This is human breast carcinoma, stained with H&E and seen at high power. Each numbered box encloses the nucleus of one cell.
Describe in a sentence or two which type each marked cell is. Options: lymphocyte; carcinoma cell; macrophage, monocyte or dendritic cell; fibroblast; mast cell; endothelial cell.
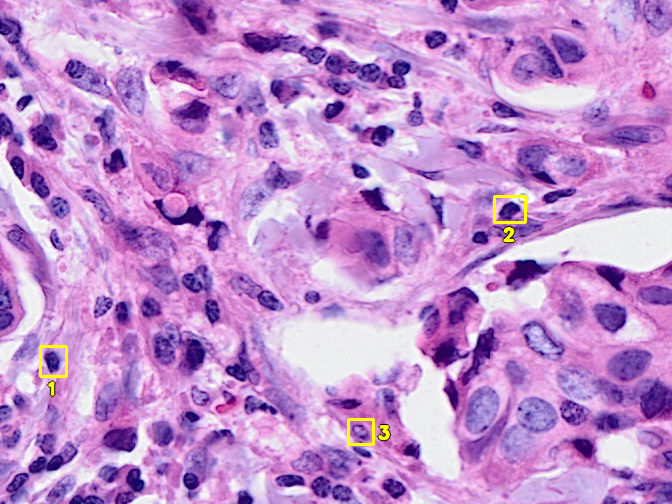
Cells 1 and 2 are lymphocytes. Cell 3 is an endothelial cell.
